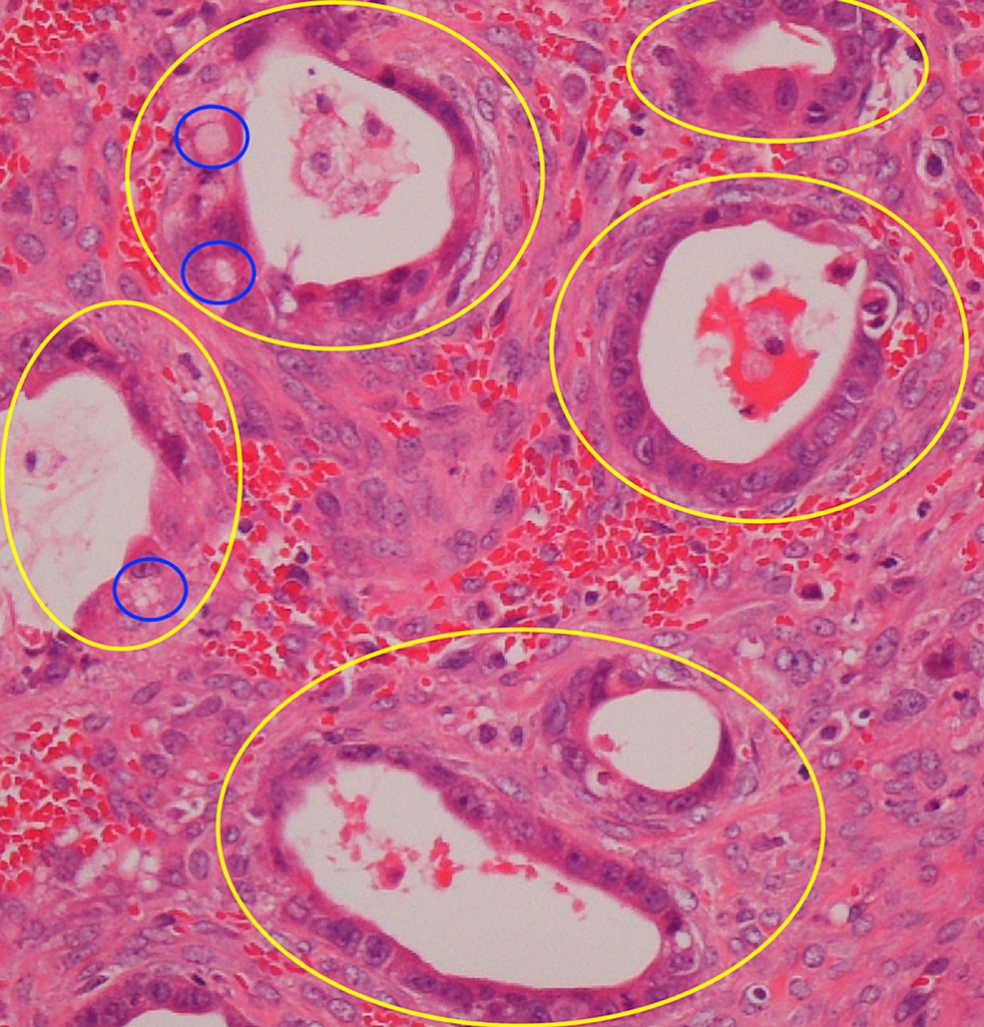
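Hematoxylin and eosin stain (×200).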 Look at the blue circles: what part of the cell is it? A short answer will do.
Mucus component.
